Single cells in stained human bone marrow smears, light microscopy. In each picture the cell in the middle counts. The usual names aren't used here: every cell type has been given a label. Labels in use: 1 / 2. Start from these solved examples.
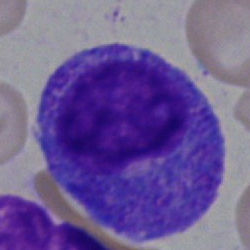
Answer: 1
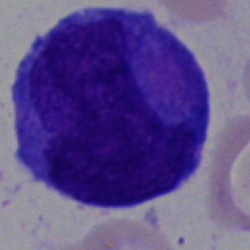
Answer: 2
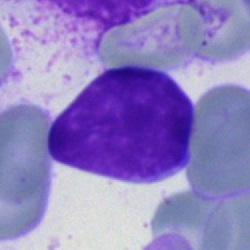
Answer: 2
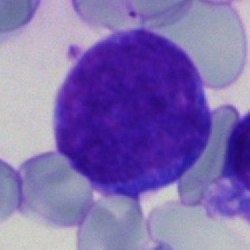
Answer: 2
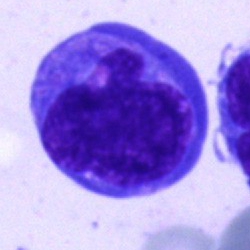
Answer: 2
